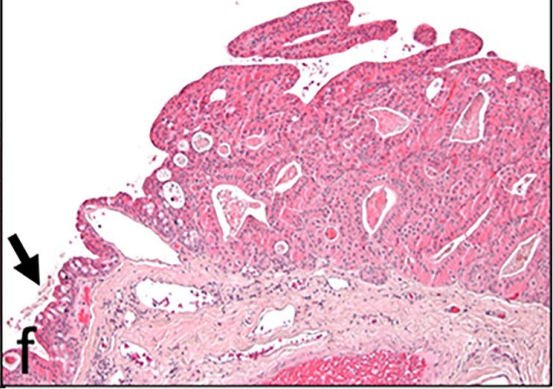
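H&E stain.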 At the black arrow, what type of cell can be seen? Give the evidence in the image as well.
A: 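The arrow points to a spot in the epithelial lining at the left edge. Pale, rounded cells lie there between pink columnar cells.
Goblet cells.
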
